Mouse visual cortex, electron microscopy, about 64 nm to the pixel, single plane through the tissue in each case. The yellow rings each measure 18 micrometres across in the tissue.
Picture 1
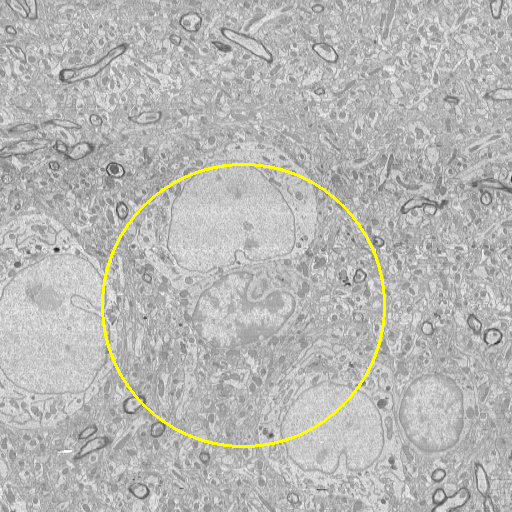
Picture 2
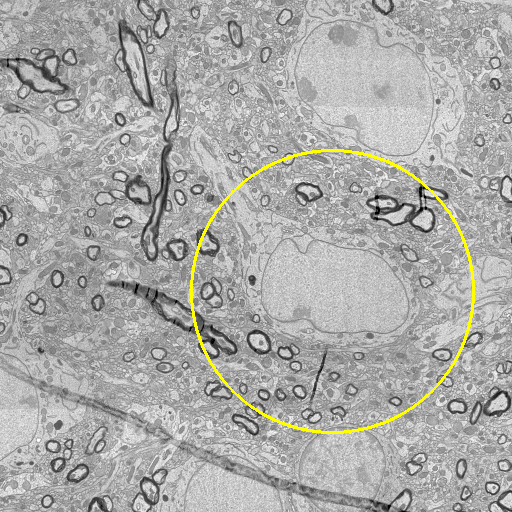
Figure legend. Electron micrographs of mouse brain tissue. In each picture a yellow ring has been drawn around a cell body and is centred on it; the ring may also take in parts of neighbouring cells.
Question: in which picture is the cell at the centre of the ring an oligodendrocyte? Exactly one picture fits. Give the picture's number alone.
1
